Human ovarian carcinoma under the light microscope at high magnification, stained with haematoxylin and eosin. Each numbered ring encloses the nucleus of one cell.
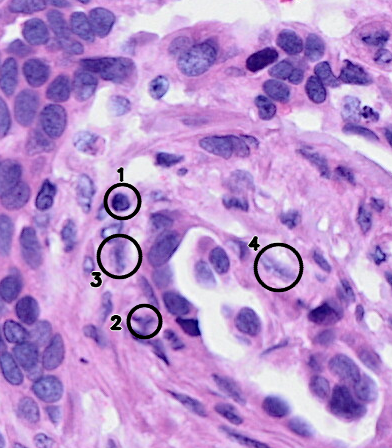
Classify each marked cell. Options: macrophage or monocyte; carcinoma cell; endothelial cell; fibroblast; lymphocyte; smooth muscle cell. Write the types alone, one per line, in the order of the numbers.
lymphocyte
fibroblast
fibroblast
fibroblast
